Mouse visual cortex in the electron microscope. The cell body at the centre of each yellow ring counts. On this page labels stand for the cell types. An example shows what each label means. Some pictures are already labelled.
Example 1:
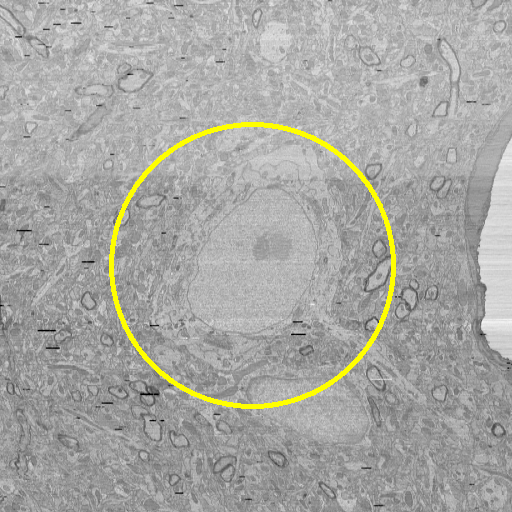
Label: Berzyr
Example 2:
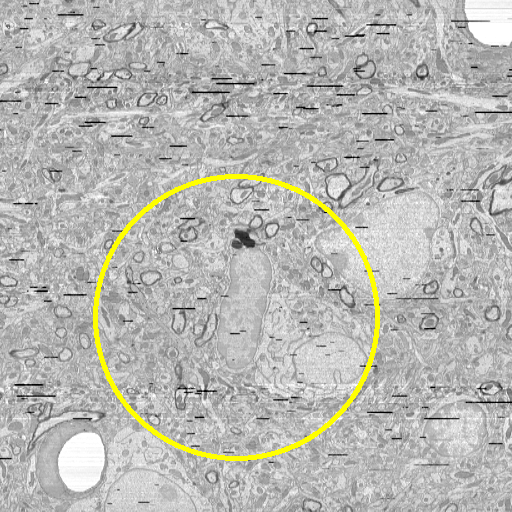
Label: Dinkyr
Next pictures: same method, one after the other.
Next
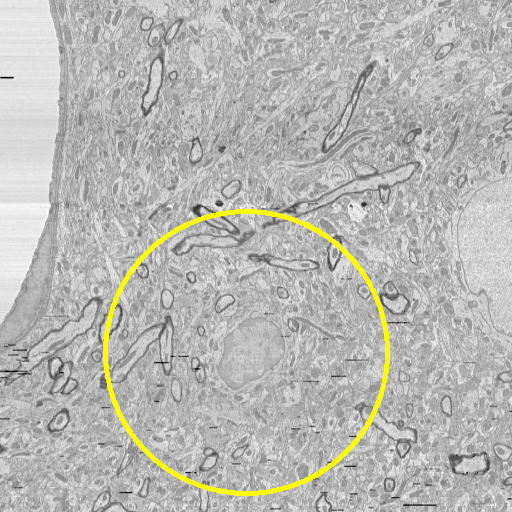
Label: Dinkyr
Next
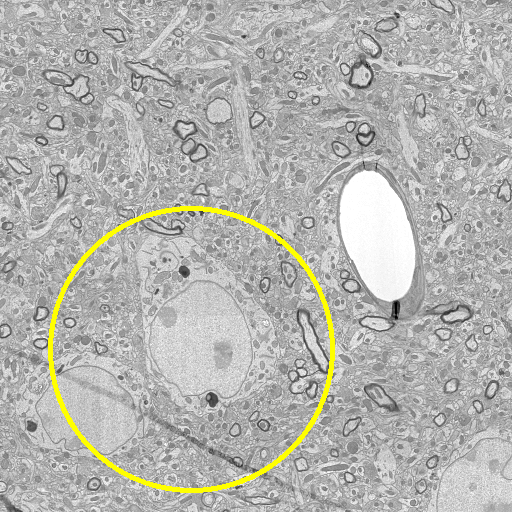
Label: Berzyr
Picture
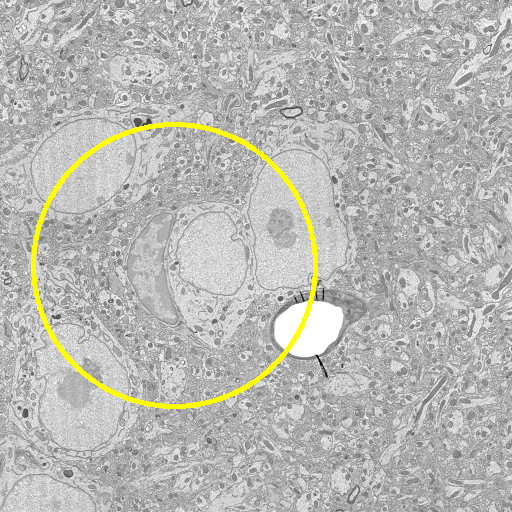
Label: Dinkyr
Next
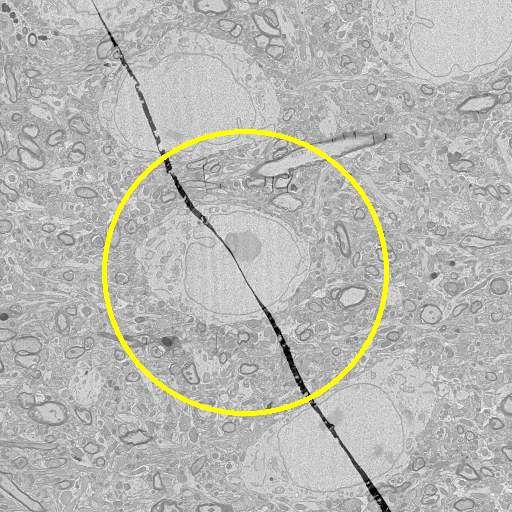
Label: Berzyr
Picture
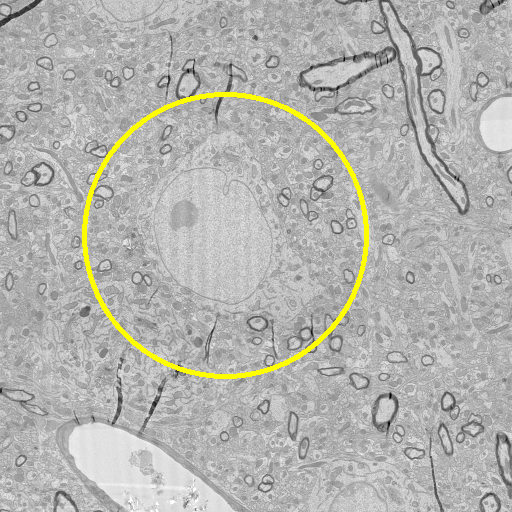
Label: Berzyr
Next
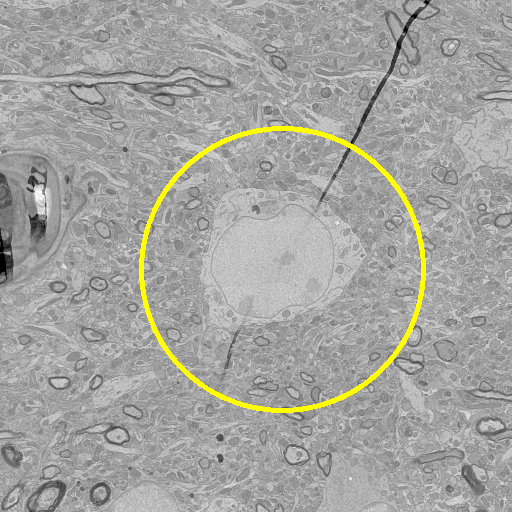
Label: Berzyr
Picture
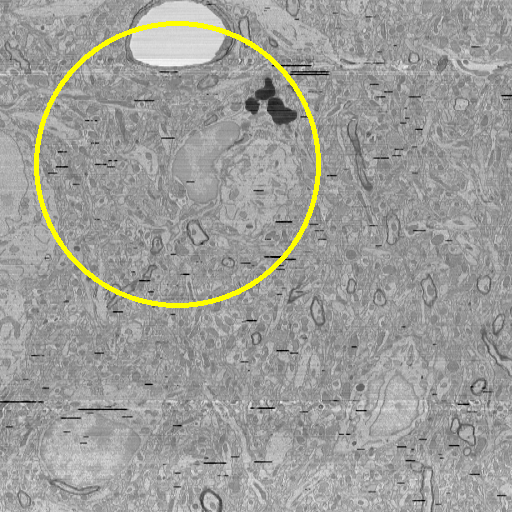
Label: Dinkyr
